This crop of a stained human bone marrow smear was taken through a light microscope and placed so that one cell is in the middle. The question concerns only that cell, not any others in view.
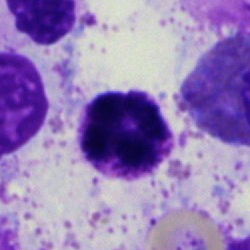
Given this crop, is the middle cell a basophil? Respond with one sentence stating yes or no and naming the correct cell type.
Yes, the cell positioned in the middle is a basophil.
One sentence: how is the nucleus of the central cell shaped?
Have a look at the nucleus, which is one compact mass, round, oval or kidney-shaped.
